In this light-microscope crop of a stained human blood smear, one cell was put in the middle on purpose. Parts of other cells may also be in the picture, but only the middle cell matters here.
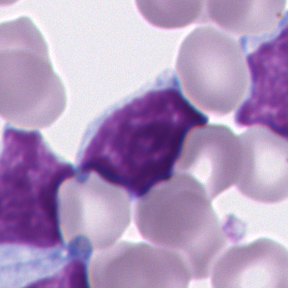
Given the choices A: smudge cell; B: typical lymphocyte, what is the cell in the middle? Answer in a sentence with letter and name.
Option B, which names the central cell as a typical lymphocyte, is correct.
